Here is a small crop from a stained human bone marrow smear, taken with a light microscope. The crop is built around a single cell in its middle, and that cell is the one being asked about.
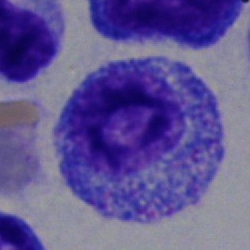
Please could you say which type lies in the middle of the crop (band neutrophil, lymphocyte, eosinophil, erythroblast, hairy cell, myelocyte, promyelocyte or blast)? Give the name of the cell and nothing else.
myelocyte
